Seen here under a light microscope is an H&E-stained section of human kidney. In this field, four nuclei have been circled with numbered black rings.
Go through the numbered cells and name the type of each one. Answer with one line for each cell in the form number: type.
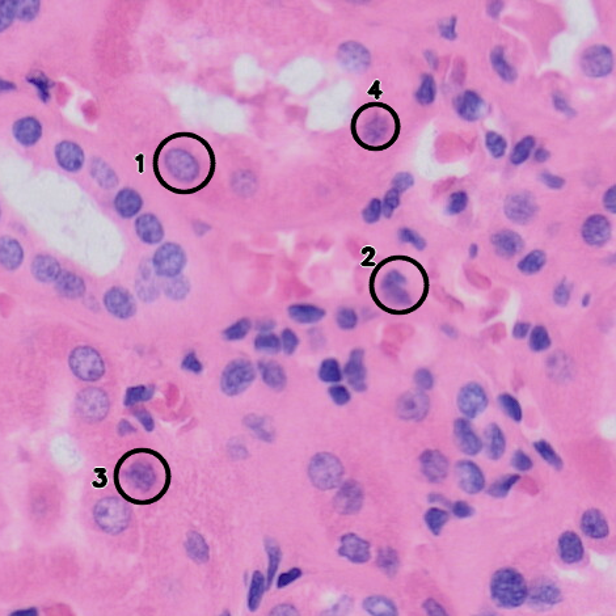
1: proximal tubule cell
2: endothelial cell
3: proximal tubule cell
4: proximal tubule cell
